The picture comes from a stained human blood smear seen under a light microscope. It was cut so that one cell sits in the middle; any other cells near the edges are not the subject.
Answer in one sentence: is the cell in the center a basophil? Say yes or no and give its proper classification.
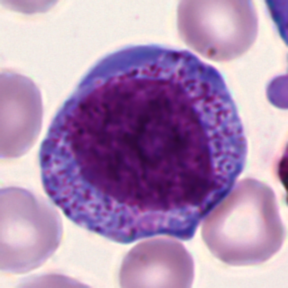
No, it is a promyelocyte rather than a basophil that the middle of the crop contains.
